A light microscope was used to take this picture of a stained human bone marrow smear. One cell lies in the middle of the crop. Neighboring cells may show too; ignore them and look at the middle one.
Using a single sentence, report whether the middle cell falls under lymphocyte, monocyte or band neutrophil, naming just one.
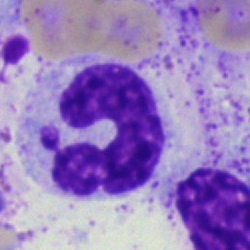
This particular crop is centered on a band neutrophil.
